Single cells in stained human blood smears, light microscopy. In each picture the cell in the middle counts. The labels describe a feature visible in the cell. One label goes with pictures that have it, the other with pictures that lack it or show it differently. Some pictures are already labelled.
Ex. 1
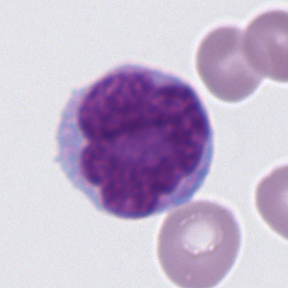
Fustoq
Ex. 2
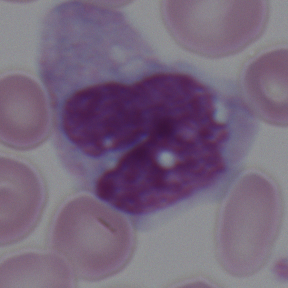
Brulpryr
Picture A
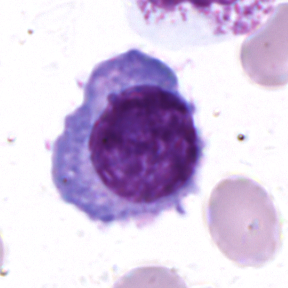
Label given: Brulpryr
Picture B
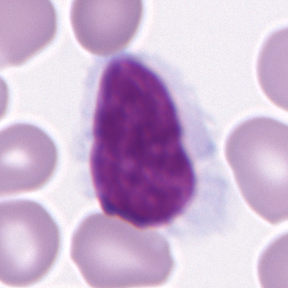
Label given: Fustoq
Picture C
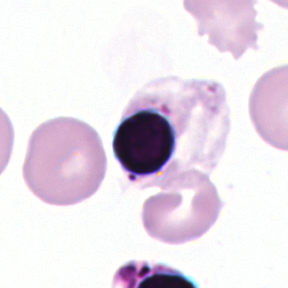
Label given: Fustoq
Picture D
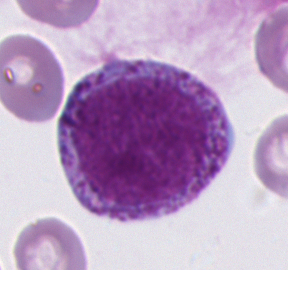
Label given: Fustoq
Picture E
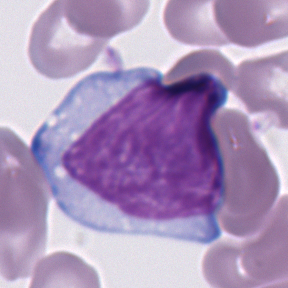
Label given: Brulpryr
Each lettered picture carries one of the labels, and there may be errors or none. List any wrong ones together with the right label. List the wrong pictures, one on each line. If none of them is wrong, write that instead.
C: not Fustoq but Brulpryr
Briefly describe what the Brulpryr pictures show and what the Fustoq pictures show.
In Brulpryr: abundant cytoplasm. In Fustoq: scant cytoplasm.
